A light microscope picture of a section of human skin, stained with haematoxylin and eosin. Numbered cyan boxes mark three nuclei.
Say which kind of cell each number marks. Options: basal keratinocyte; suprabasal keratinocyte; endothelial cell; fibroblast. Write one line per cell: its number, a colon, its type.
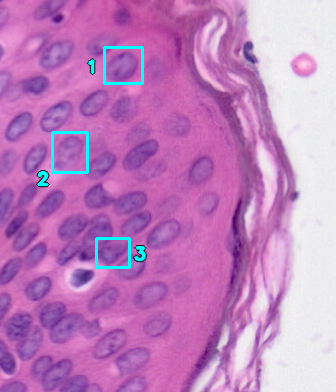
1: suprabasal keratinocyte
2: suprabasal keratinocyte
3: basal keratinocyte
